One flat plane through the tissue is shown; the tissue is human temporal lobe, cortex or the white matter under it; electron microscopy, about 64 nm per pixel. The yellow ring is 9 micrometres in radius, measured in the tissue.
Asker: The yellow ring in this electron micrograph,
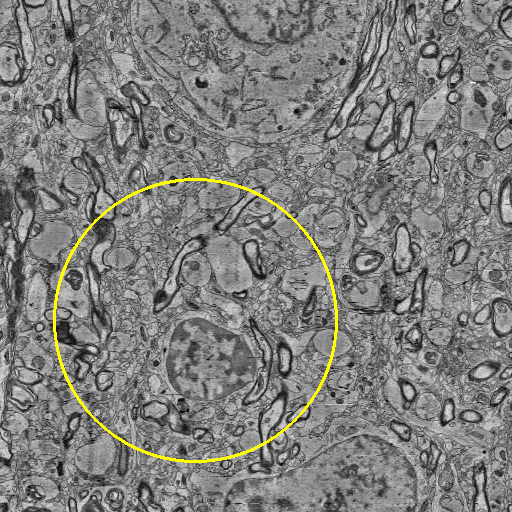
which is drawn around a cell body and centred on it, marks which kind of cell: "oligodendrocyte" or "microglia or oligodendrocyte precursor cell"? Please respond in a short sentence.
The marked cell is a microglial cell or oligodendrocyte precursor cell.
